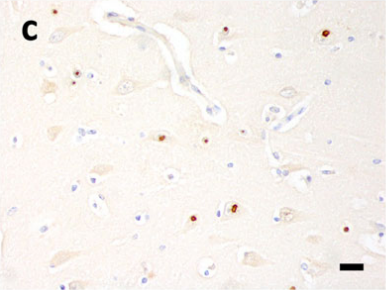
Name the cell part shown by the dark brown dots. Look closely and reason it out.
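Intranuclear inclusions. Single round brown dots lie within nuclei. Dots are seen in both large and small cells.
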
